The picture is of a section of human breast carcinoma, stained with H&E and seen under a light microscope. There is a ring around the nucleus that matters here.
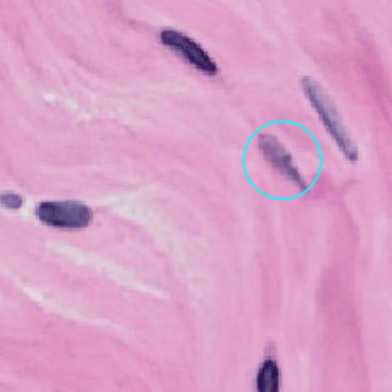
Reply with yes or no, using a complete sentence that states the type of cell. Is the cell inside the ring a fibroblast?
Yes, the cell inside the ring is correctly named as a fibroblast.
